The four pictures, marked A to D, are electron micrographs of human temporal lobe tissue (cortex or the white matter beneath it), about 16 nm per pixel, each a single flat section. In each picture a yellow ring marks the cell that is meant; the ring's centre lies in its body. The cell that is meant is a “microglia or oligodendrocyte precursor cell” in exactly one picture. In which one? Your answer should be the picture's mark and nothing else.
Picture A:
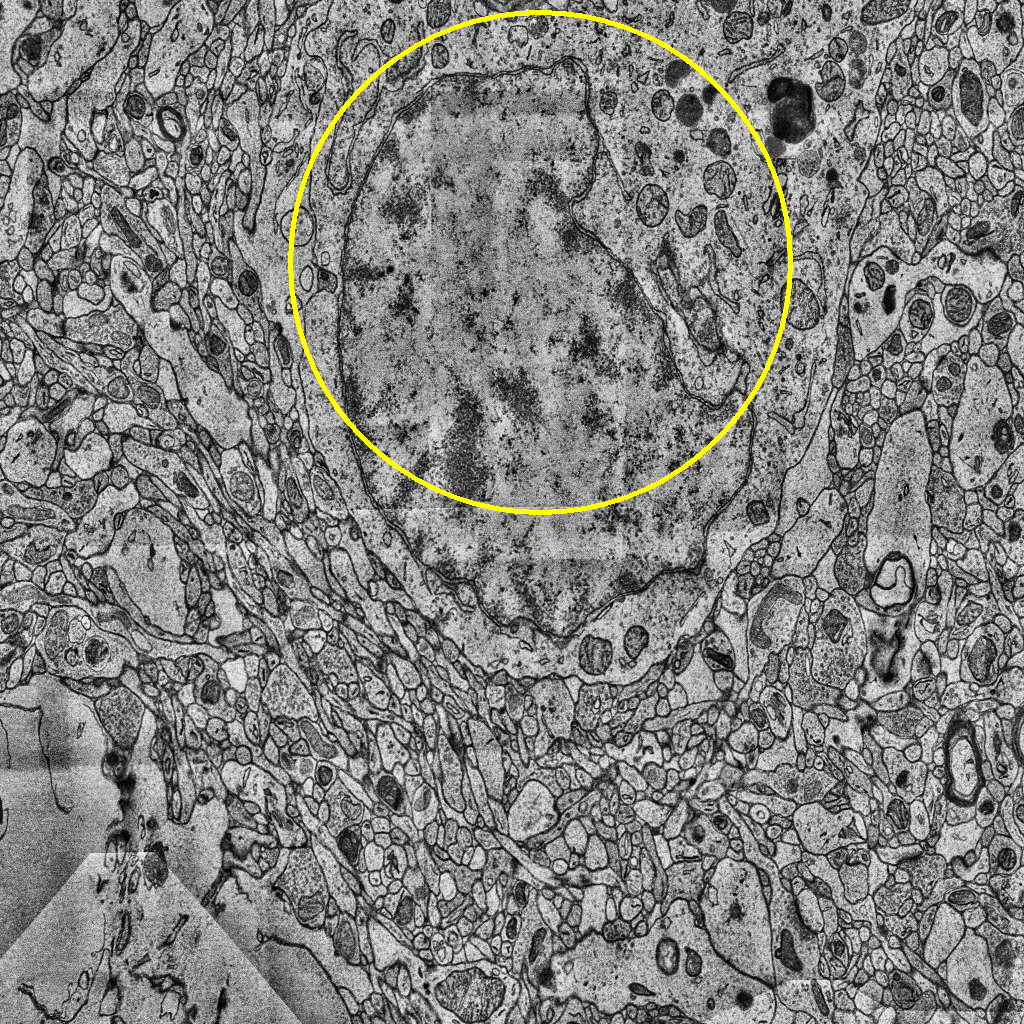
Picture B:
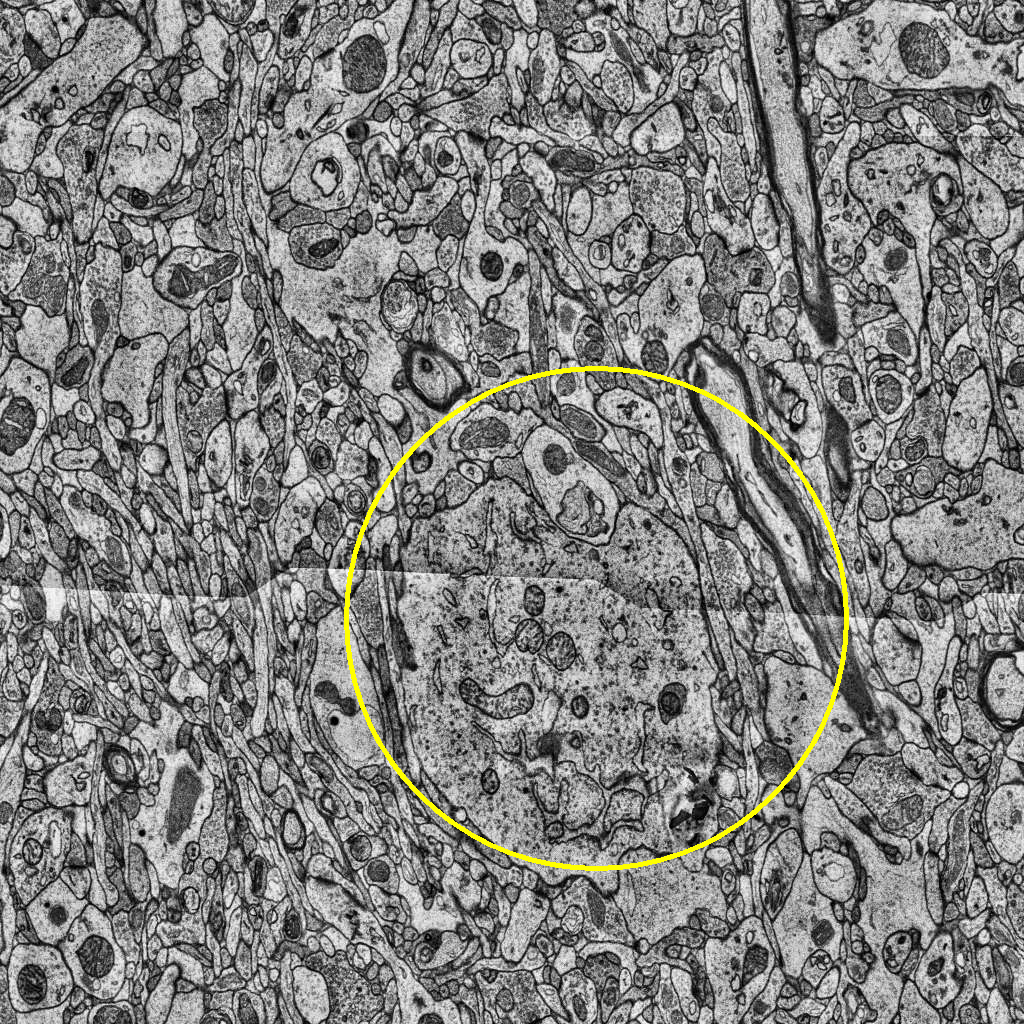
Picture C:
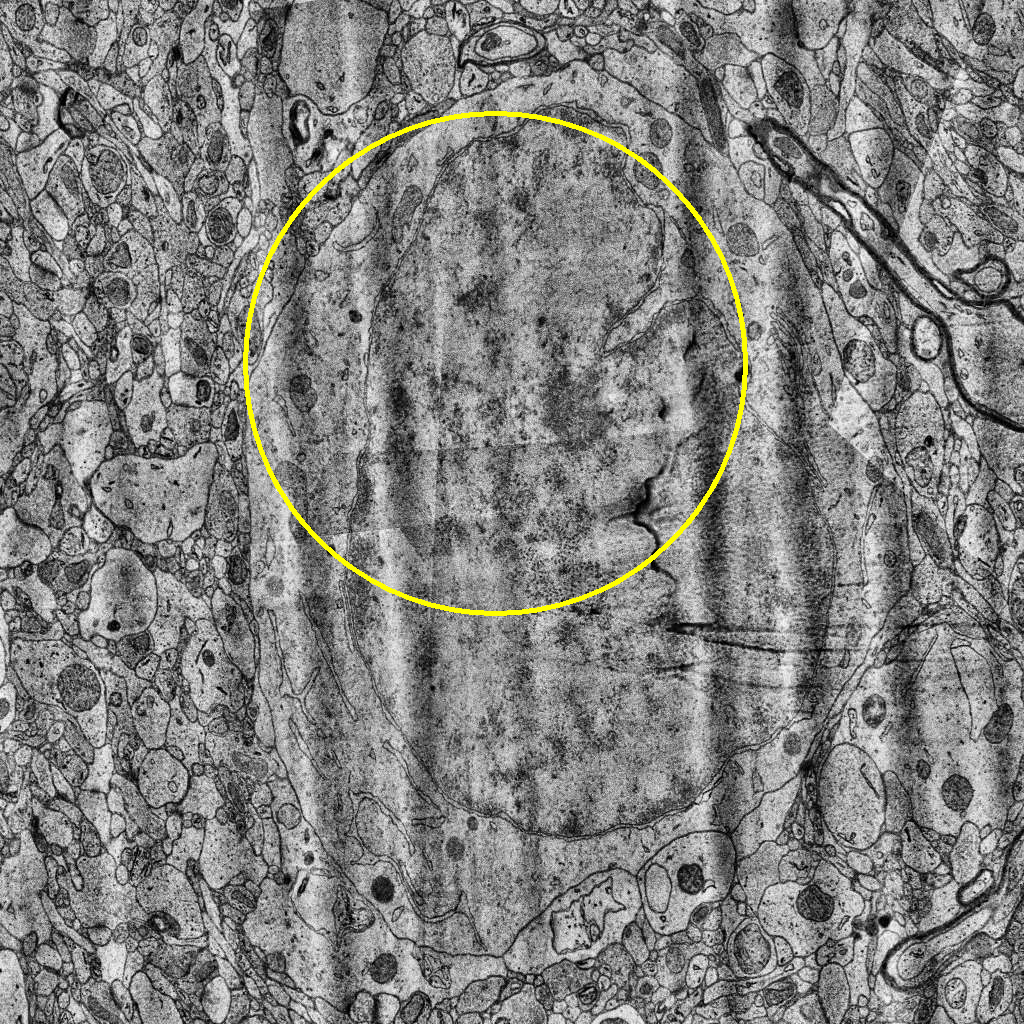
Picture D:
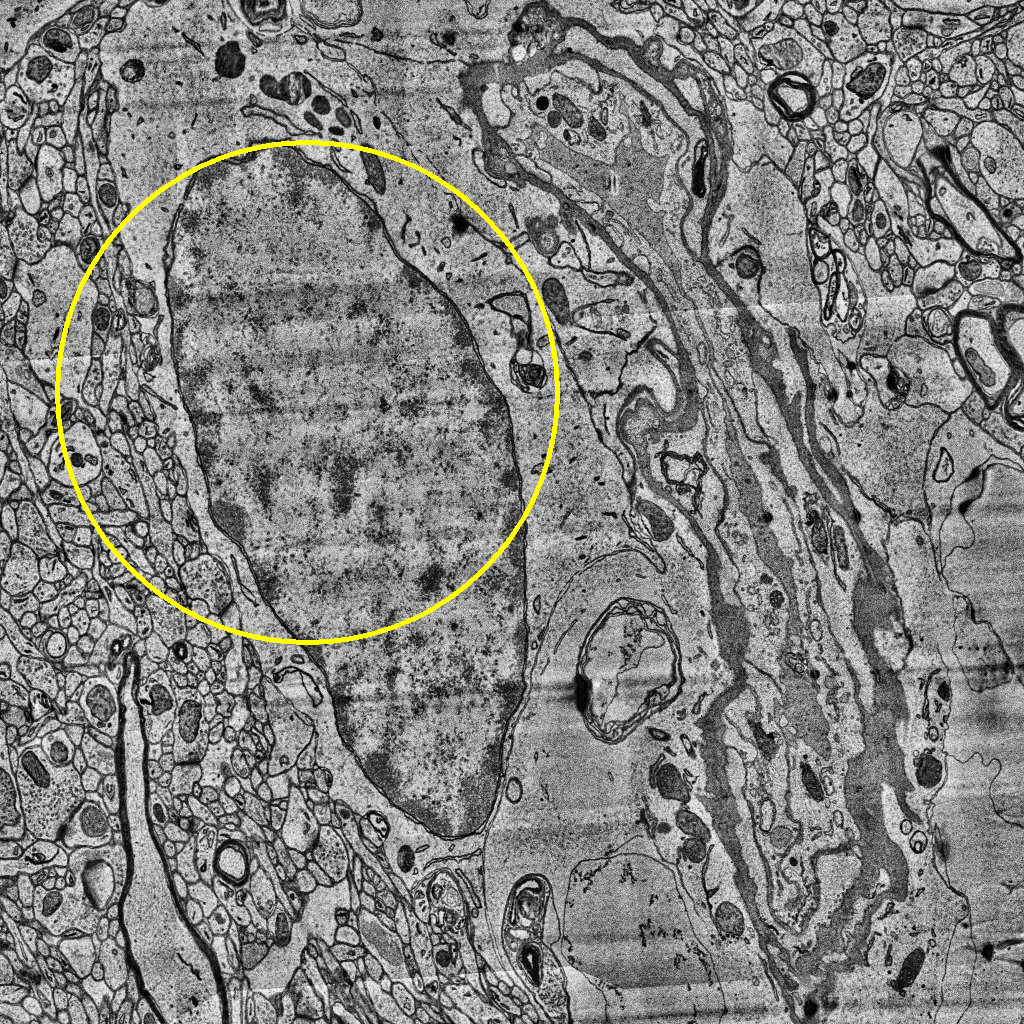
D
